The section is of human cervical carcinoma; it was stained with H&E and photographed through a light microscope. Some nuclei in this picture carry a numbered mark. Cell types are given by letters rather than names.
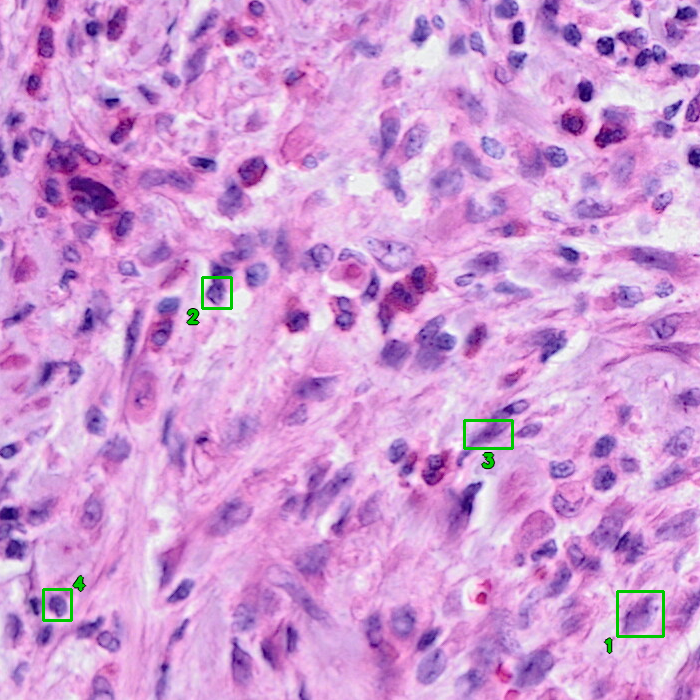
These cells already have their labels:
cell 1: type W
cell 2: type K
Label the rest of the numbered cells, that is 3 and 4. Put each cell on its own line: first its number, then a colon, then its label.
3: type W
4: type K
